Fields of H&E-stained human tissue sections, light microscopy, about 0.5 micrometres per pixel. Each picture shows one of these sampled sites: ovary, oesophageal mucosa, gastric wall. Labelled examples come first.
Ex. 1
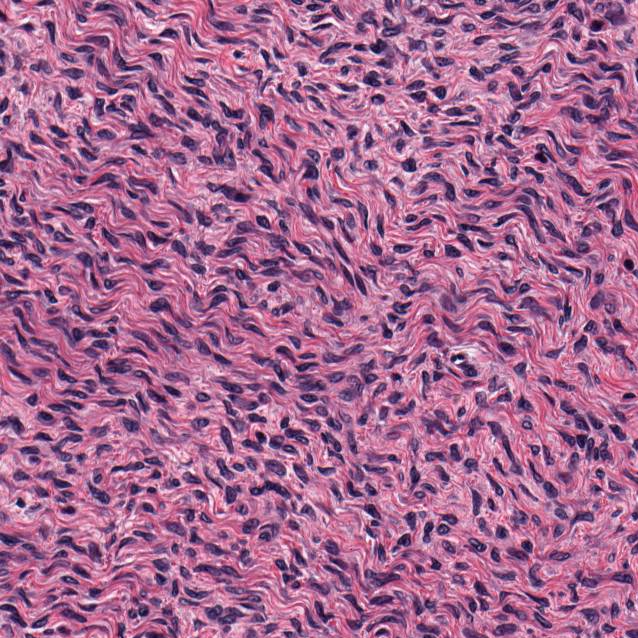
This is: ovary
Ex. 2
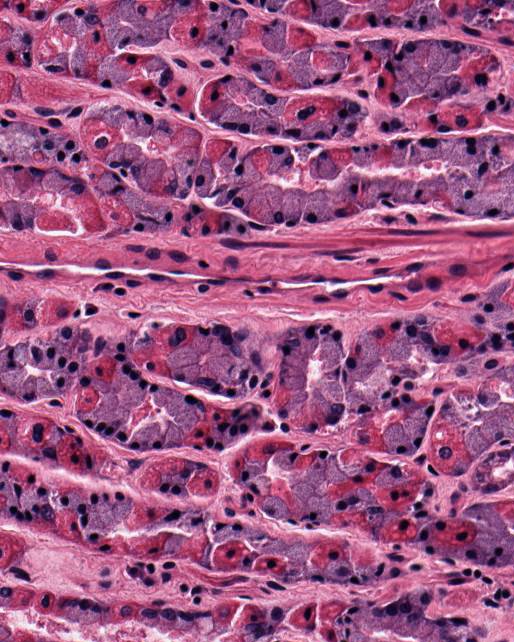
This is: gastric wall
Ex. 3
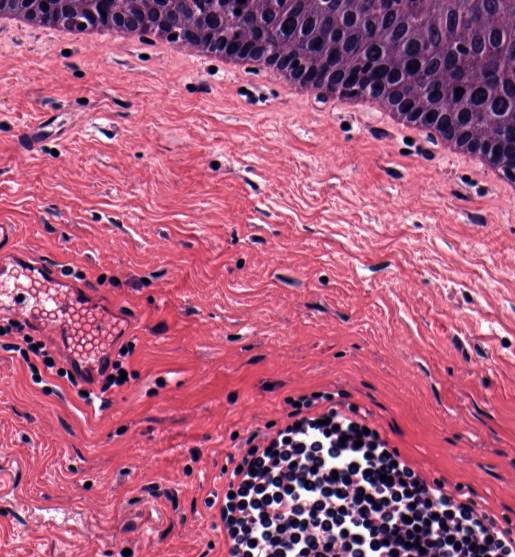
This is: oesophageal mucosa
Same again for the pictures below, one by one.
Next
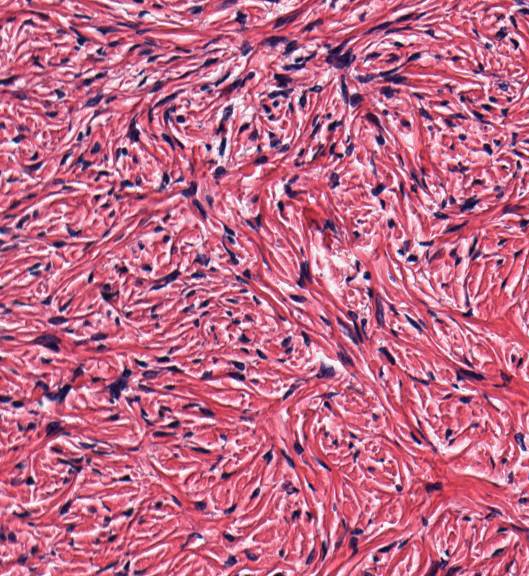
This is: ovary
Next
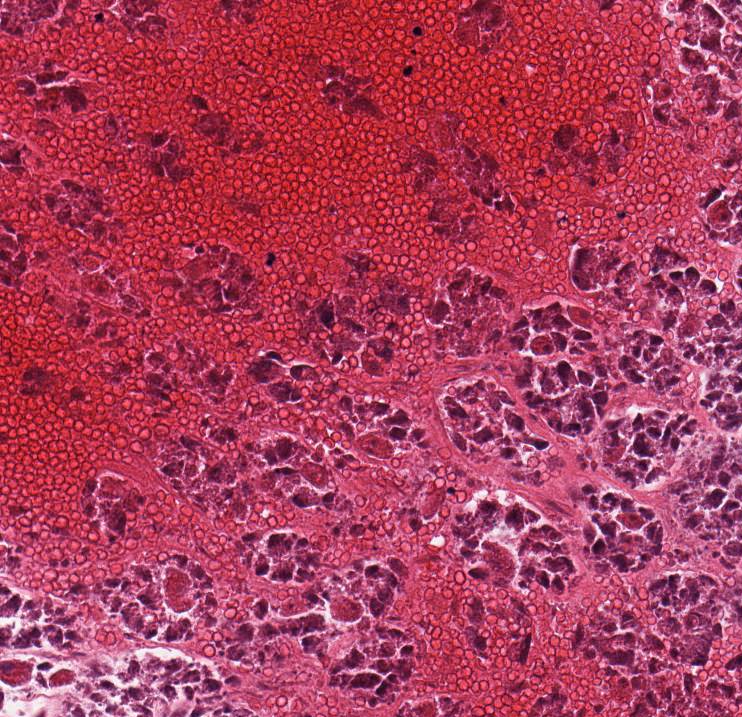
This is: gastric wall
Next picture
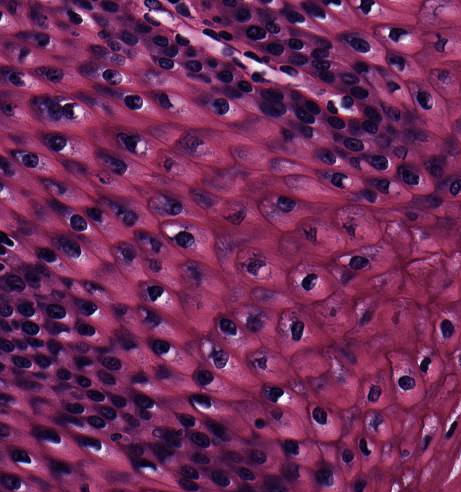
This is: oesophageal mucosa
